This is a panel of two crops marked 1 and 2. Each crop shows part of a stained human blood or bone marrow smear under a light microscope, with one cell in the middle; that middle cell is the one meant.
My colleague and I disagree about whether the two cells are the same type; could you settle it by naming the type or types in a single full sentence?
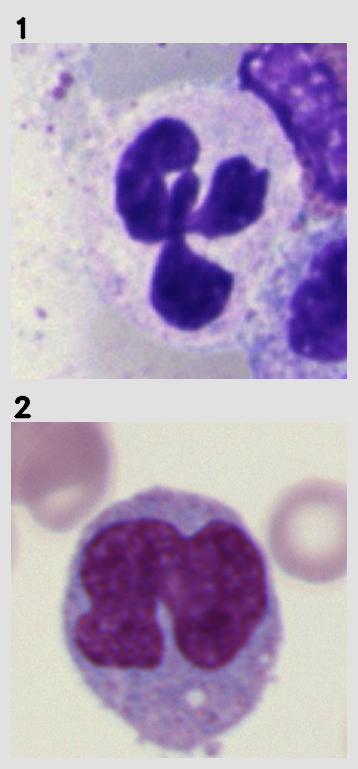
No, crop 1 is where a neutrophil is shown, and crop 2 is where a monocyte is shown.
